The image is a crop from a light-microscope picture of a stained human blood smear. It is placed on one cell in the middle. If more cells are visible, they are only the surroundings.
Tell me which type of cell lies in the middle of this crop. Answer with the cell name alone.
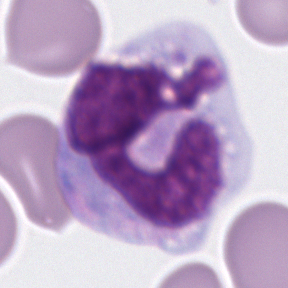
monocyte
